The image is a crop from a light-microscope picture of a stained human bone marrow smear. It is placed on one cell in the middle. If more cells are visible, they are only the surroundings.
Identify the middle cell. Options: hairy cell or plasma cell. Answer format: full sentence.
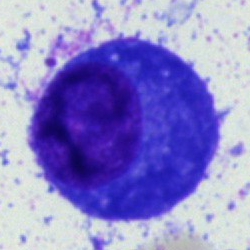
The cell under consideration, at the middle of the crop, is a plasma cell.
